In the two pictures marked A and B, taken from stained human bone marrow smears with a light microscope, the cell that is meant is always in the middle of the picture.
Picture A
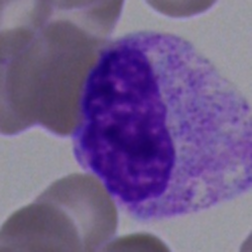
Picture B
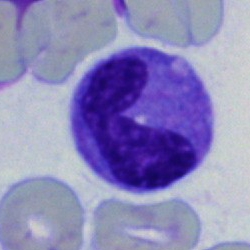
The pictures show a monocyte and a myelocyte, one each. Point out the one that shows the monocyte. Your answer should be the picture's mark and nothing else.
B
